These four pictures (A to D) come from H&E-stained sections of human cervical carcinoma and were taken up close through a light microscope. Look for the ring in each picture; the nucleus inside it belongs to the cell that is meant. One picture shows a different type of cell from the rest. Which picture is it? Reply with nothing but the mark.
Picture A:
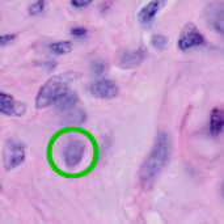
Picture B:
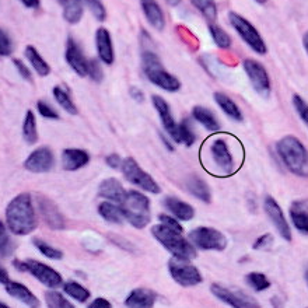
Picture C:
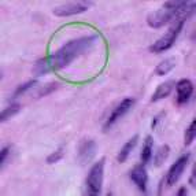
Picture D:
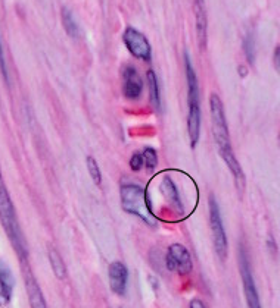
D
